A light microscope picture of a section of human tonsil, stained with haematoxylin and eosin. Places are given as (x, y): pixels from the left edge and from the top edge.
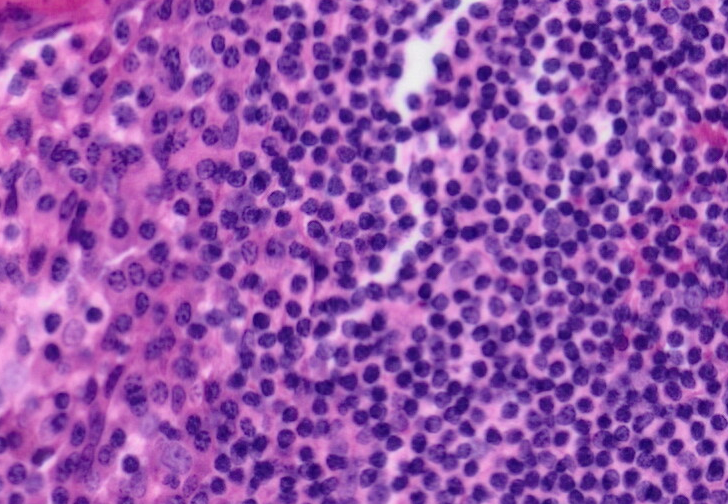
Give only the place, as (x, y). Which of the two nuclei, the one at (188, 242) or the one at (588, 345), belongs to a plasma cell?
(188, 242)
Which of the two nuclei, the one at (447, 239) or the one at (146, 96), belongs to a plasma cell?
(146, 96)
